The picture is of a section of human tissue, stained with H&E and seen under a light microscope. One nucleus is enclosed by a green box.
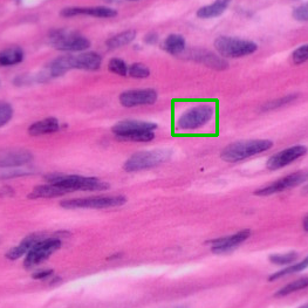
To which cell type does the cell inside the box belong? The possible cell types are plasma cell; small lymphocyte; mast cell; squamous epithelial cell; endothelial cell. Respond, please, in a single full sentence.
As a matter of cell type, the cell inside the box is a mast cell.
